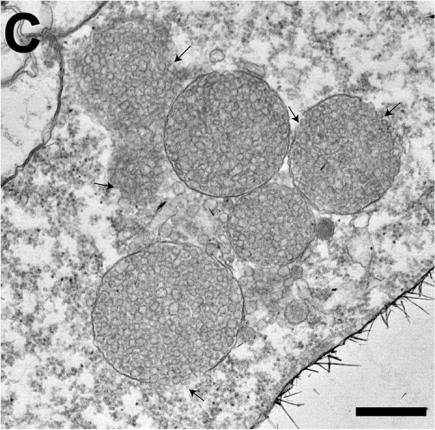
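The bodies vary in size and lie close together, some nearly touching, with a few smaller membrane profiles between them. Along parts of their rims the bounding membrane appears broken or indistinct rather than a continuous line. The surrounding cytoplasm is finely granular with many dark small particles. The cell's plasma membrane runs along the lower right edge of the field.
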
